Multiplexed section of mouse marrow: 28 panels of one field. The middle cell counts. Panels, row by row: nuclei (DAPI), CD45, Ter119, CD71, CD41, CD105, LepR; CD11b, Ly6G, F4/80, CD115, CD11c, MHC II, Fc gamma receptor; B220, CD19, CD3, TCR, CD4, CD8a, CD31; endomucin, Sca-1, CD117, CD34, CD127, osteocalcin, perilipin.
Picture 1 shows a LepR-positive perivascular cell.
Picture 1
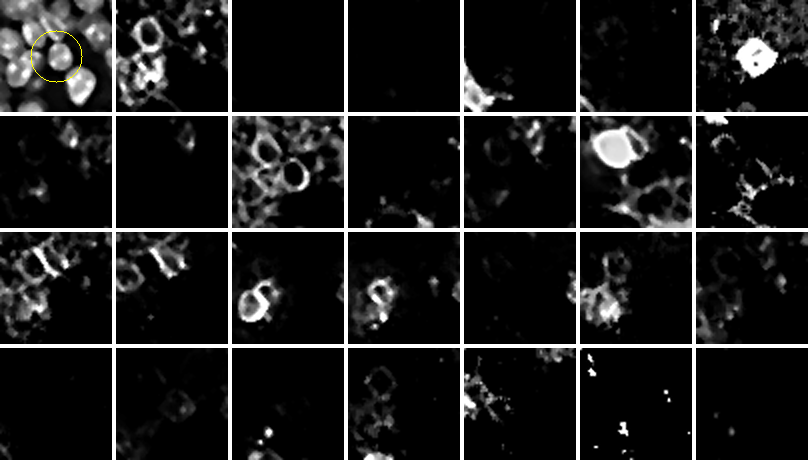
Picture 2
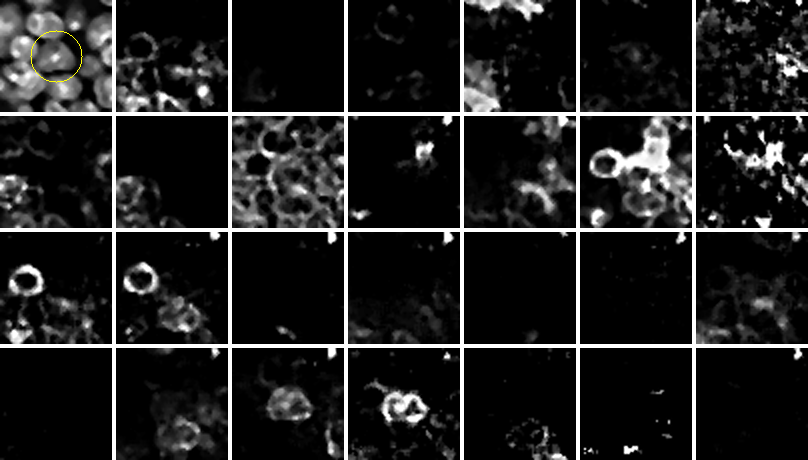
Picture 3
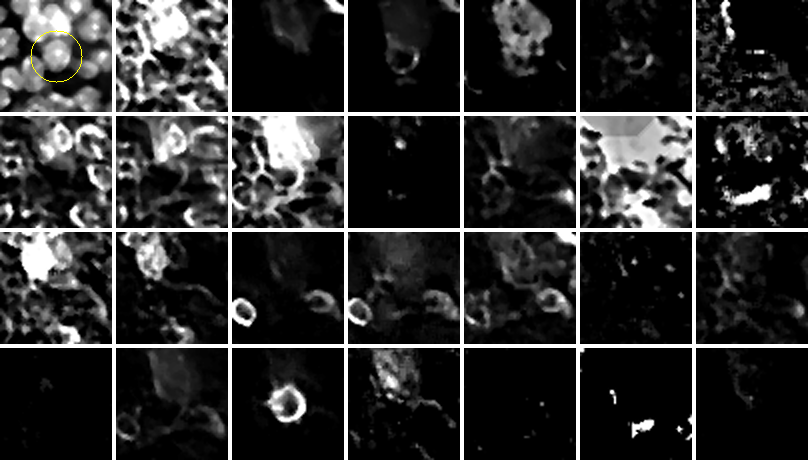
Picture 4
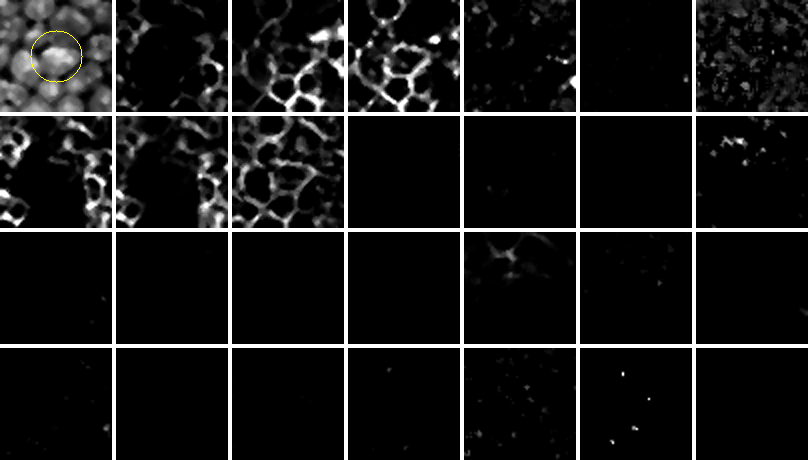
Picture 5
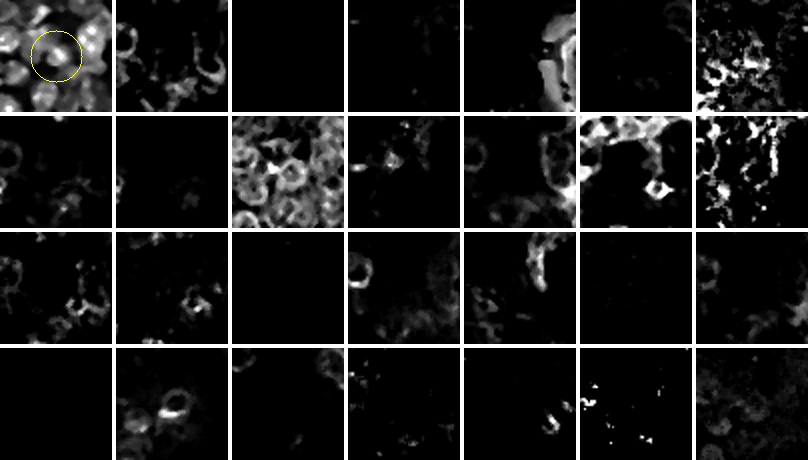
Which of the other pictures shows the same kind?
Picture 5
